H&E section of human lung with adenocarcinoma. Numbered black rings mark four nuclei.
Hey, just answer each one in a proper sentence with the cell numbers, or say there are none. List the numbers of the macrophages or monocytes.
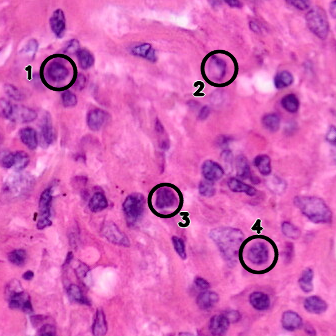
A single numbered cell, cell 2, is a macrophage or monocyte.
